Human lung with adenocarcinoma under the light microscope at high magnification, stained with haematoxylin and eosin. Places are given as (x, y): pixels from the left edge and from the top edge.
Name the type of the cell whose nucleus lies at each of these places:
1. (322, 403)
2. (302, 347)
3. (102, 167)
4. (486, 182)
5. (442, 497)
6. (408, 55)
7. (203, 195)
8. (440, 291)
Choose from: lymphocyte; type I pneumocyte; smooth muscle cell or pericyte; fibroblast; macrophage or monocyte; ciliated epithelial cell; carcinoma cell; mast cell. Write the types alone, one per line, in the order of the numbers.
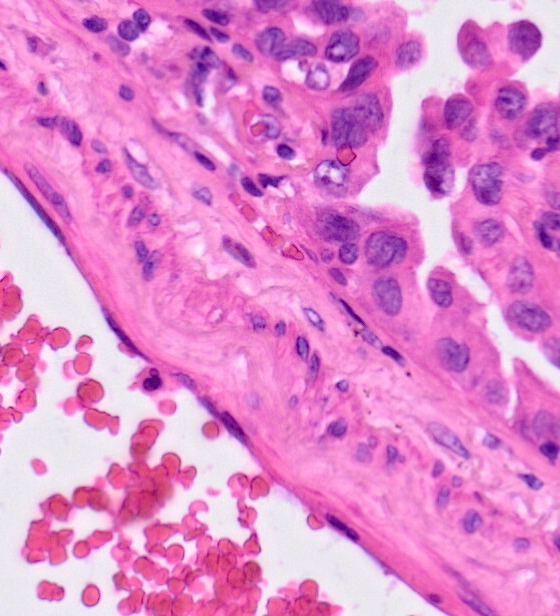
smooth muscle cell or pericyte
smooth muscle cell or pericyte
smooth muscle cell or pericyte
carcinoma cell
smooth muscle cell or pericyte
carcinoma cell
fibroblast
carcinoma cell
